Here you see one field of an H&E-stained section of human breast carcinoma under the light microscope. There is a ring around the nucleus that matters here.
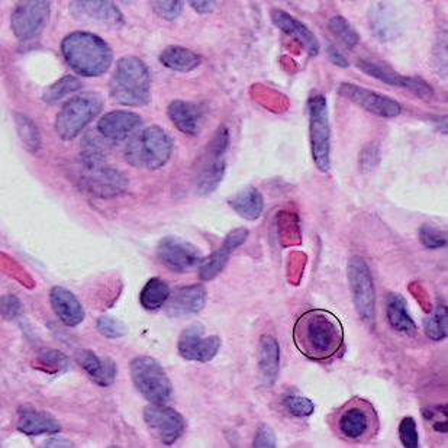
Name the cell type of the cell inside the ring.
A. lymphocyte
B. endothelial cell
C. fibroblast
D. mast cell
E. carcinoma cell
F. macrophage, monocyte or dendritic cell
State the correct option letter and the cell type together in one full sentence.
Settle on option D; the cell inside the ring is a mast cell.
